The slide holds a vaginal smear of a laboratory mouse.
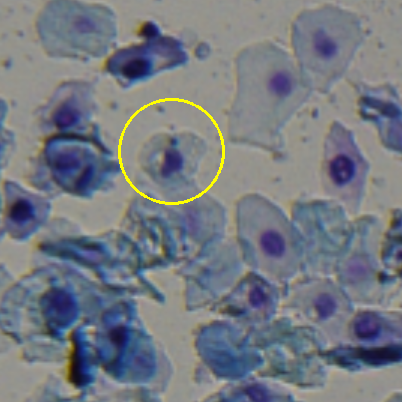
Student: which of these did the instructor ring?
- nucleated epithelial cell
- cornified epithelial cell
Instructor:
The cell I ringed is a nucleated epithelial cell.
